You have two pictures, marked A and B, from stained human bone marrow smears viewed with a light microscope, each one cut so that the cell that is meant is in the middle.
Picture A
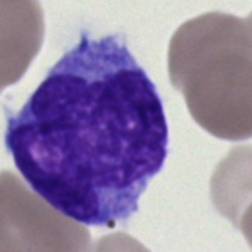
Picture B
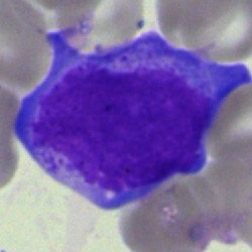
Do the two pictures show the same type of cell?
no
